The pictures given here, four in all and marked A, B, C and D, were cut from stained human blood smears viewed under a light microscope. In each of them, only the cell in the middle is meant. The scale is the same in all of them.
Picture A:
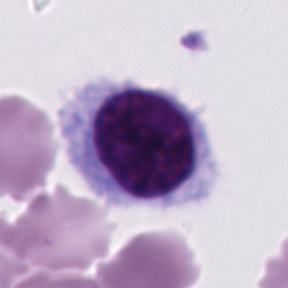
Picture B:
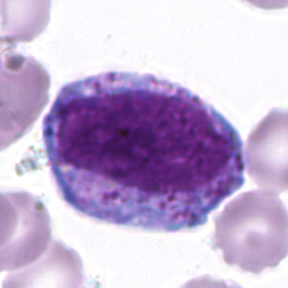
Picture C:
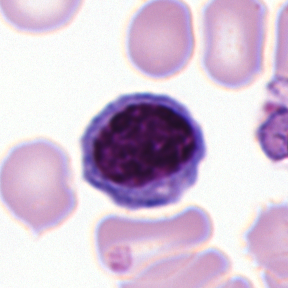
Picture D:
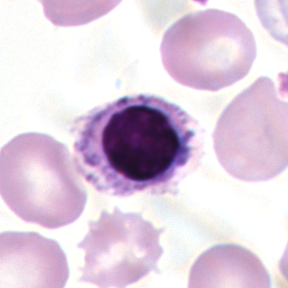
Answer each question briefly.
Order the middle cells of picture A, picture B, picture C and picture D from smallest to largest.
D, C, A, B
